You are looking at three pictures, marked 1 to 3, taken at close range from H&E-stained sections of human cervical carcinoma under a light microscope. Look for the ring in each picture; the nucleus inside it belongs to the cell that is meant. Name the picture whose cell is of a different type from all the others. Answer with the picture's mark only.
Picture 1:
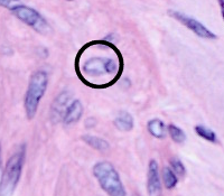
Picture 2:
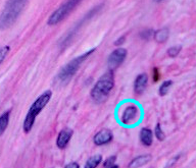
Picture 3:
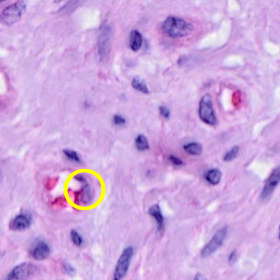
3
